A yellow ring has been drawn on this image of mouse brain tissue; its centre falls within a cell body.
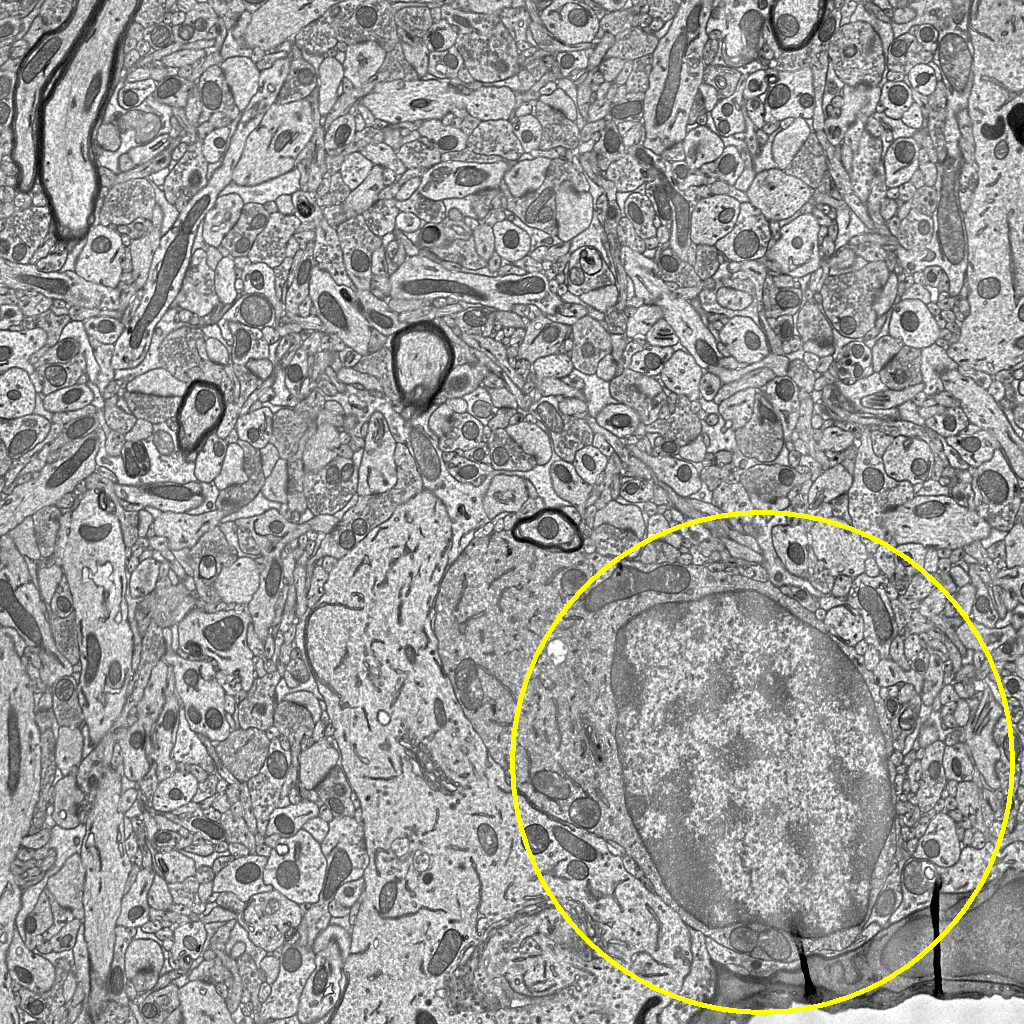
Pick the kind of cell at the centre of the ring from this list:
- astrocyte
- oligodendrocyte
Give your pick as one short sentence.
The centre of the ring holds an oligodendrocyte.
